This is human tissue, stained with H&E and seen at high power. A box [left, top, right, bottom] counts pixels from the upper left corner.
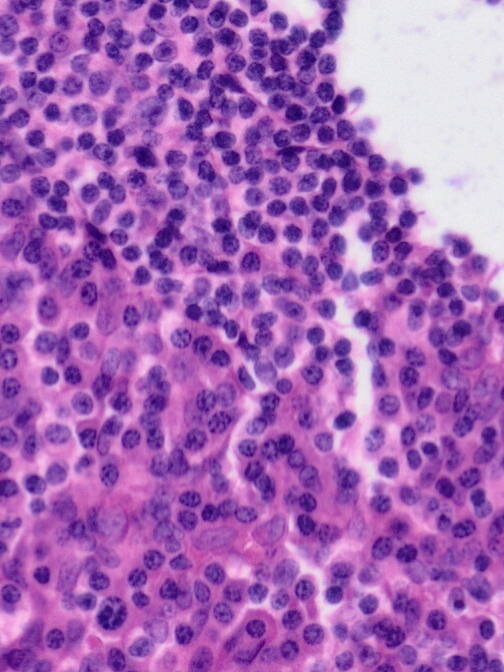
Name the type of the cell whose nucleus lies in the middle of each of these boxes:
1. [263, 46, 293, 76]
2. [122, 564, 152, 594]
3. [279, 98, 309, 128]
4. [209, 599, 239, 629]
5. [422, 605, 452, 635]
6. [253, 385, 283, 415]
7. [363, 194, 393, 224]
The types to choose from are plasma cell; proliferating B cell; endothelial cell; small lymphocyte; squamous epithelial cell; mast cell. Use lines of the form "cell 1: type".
cell 1: small lymphocyte
cell 2: plasma cell
cell 3: small lymphocyte
cell 4: plasma cell
cell 5: plasma cell
cell 6: plasma cell
cell 7: small lymphocyte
